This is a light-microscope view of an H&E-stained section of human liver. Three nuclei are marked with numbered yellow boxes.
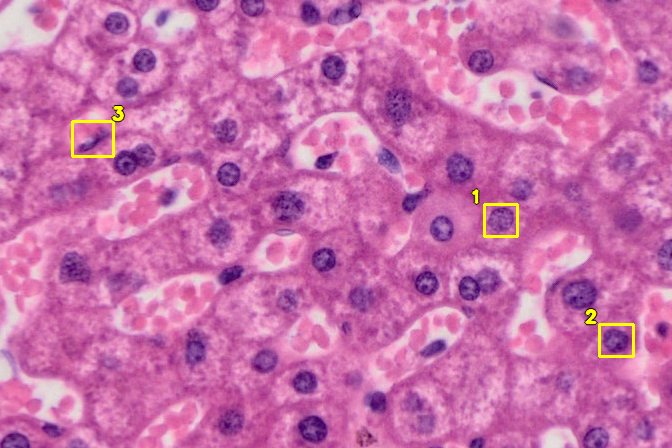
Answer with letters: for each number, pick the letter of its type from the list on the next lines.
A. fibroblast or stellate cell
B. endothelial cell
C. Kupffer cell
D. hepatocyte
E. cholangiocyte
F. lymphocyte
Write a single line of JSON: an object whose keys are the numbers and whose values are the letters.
{"1": "D", "2": "D", "3": "B"}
